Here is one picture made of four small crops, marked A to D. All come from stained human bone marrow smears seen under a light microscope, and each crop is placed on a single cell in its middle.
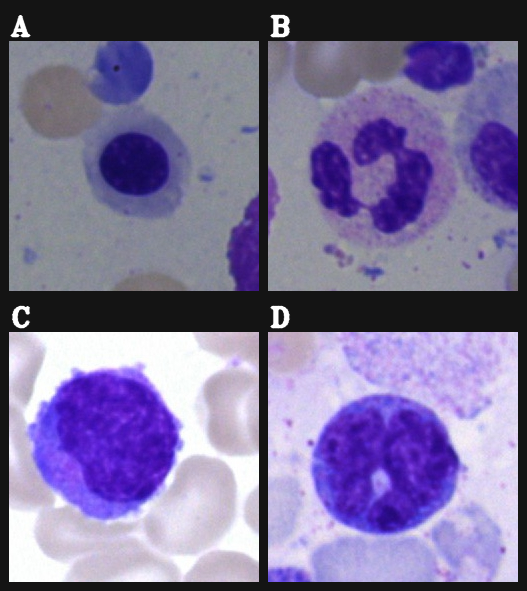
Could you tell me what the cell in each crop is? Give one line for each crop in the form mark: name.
A: erythroblast
B: segmented neutrophil
C: monocyte
D: monocyte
